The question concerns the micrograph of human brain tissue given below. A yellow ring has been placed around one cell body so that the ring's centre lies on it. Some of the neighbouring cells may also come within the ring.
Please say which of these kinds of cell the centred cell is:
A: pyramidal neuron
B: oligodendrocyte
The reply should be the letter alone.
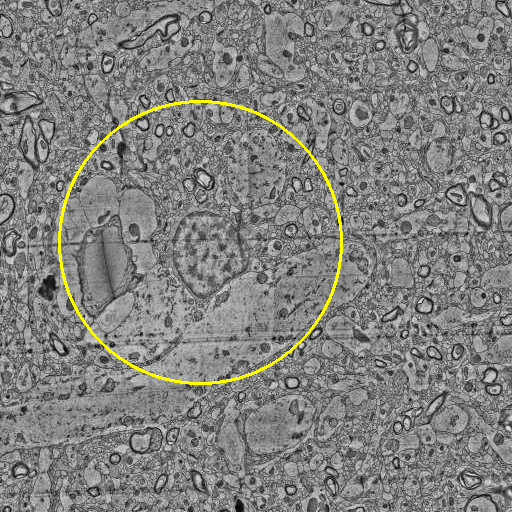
B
